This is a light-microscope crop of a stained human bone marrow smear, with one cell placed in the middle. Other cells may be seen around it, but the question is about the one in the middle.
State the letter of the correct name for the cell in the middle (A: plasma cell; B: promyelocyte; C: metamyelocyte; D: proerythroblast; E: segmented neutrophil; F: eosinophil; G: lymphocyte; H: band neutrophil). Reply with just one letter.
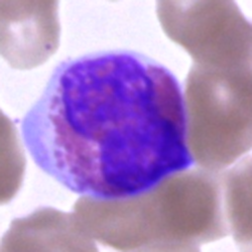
F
